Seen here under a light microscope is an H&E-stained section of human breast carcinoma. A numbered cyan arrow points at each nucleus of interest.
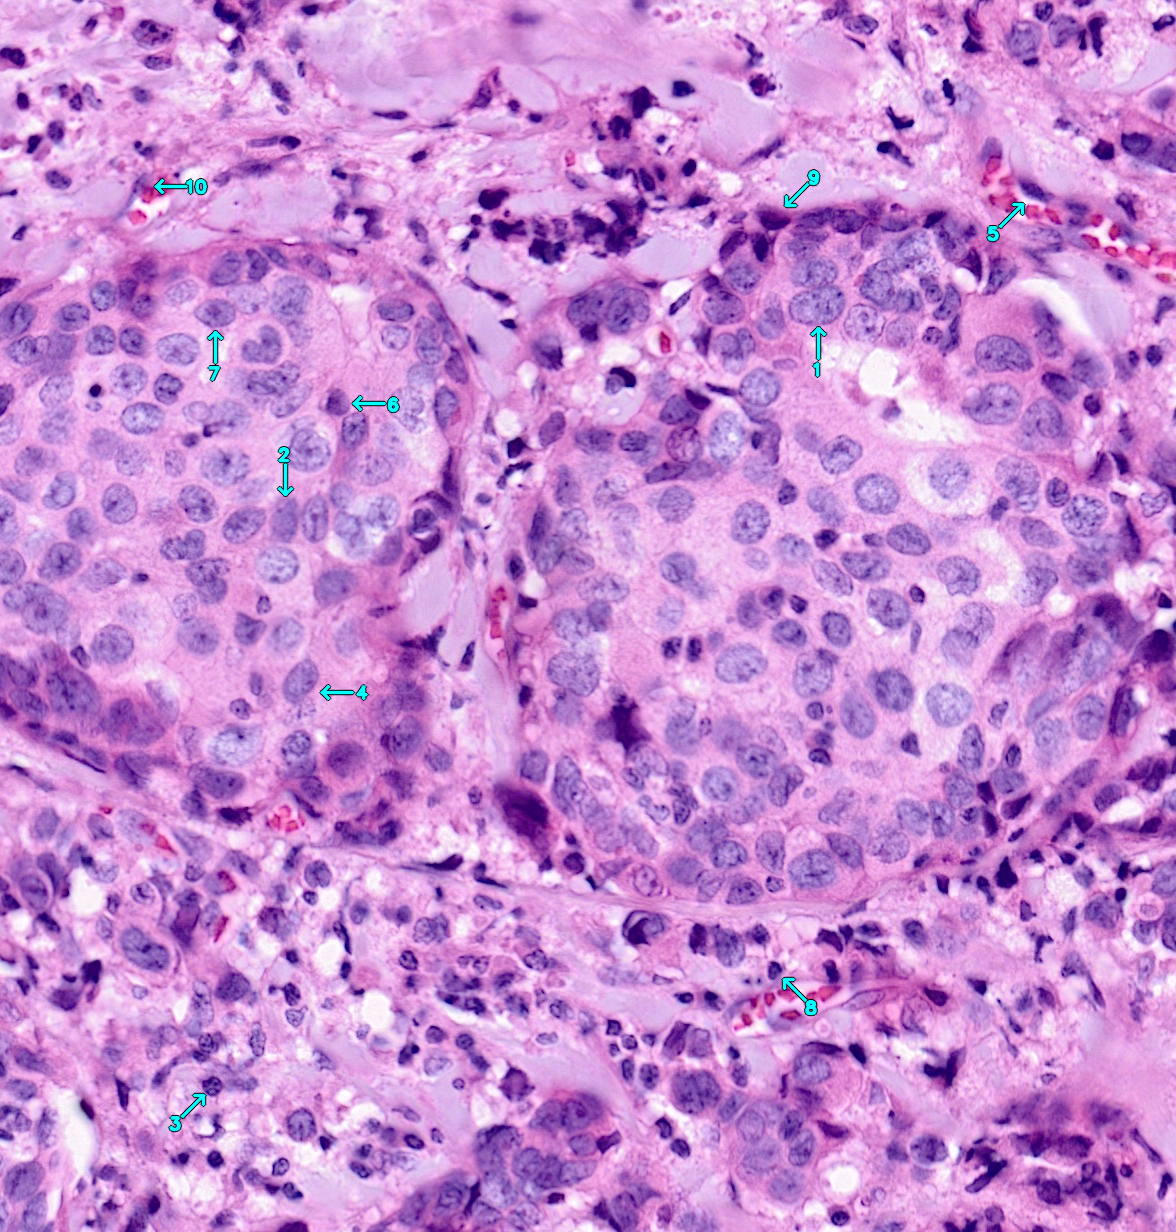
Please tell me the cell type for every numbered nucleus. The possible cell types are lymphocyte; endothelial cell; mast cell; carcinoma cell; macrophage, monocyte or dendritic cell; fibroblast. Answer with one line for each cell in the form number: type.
1: carcinoma cell
2: carcinoma cell
3: lymphocyte
4: carcinoma cell
5: endothelial cell
6: carcinoma cell
7: carcinoma cell
8: lymphocyte
9: carcinoma cell
10: endothelial cell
